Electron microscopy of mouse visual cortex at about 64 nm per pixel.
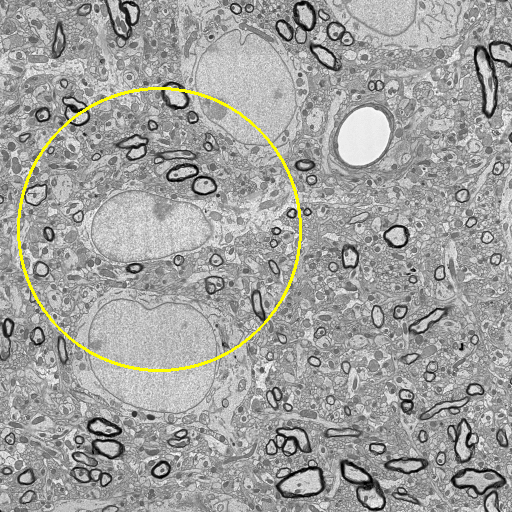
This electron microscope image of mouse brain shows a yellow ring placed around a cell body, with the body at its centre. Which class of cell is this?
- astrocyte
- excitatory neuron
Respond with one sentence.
The cell body at the ring's centre is an astrocyte.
